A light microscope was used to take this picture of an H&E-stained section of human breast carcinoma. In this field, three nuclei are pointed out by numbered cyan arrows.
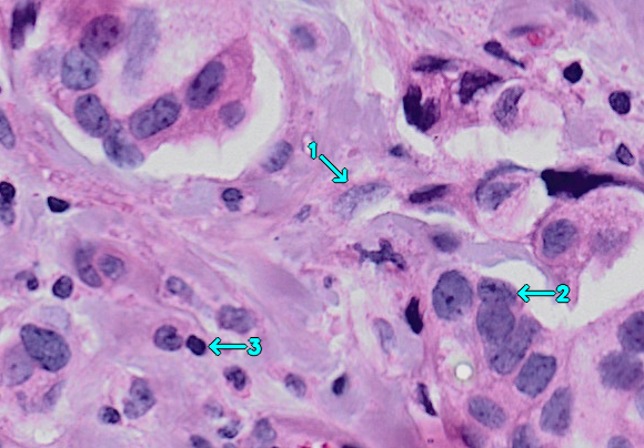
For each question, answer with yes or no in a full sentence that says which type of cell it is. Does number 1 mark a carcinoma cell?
No, the identification of cell 1 as a carcinoma cell is incorrect; it is a fibroblast.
